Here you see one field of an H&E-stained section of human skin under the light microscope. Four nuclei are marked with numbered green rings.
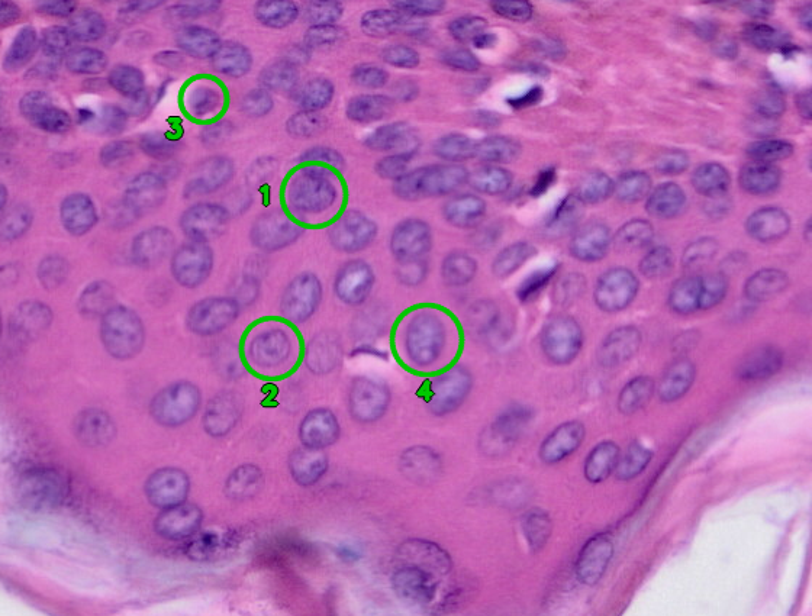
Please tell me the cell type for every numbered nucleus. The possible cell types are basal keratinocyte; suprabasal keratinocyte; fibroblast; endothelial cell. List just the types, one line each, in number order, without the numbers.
suprabasal keratinocyte
suprabasal keratinocyte
basal keratinocyte
suprabasal keratinocyte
